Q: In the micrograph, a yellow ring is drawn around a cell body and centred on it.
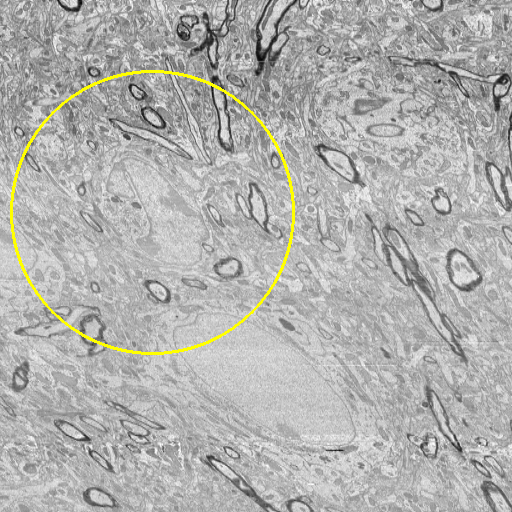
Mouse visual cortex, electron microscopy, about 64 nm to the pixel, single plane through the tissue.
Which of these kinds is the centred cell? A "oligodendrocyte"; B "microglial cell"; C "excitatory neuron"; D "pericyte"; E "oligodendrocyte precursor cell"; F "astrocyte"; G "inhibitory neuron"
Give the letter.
E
